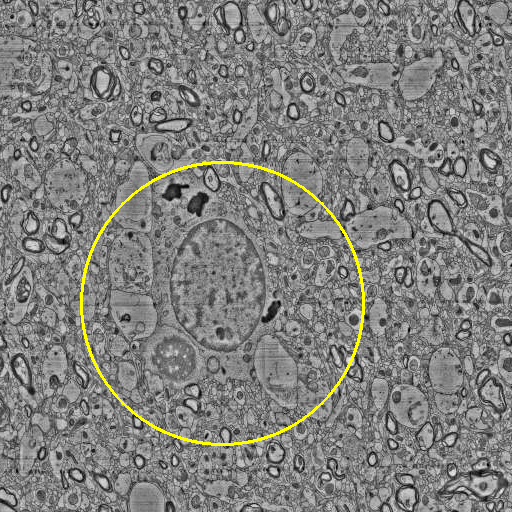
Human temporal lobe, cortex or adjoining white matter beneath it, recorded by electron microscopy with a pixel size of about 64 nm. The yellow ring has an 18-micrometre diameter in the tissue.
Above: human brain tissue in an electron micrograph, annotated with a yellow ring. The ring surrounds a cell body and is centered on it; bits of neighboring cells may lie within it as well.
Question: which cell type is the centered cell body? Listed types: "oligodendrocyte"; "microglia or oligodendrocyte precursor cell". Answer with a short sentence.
The centered cell body is an oligodendrocyte.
